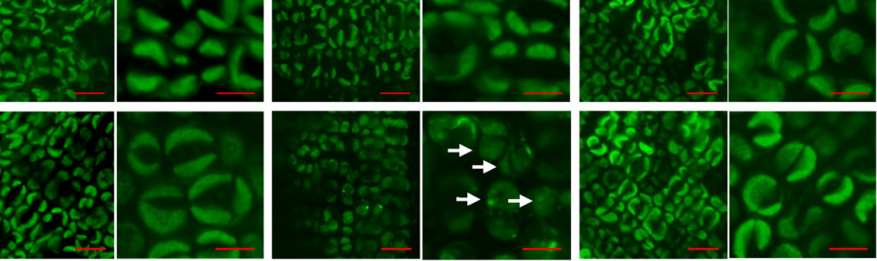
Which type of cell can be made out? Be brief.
Mesophyll cells.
